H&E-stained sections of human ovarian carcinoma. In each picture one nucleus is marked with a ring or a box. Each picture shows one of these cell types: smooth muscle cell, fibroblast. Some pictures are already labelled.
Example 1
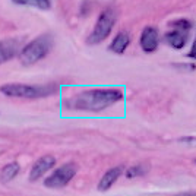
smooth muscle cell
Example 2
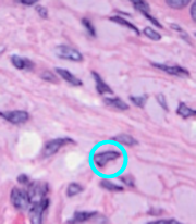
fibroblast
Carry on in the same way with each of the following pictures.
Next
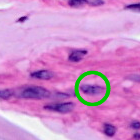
smooth muscle cell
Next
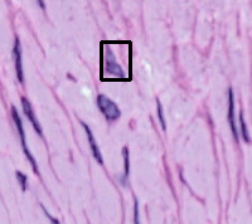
fibroblast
